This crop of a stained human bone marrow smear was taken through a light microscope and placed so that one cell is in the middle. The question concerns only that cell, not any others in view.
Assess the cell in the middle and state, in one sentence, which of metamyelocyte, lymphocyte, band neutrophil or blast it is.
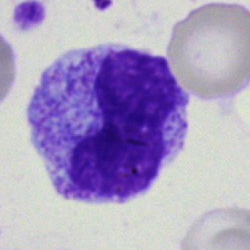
The cell the crop is centered on is a metamyelocyte.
